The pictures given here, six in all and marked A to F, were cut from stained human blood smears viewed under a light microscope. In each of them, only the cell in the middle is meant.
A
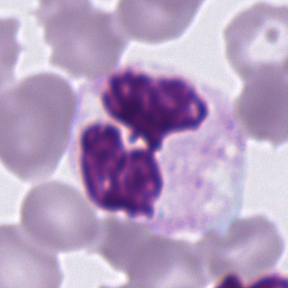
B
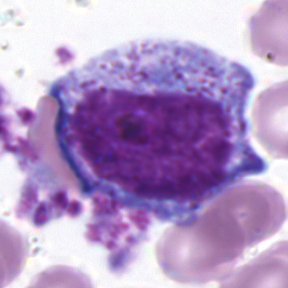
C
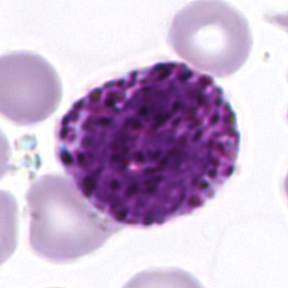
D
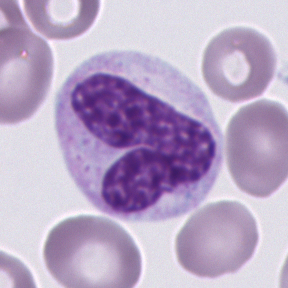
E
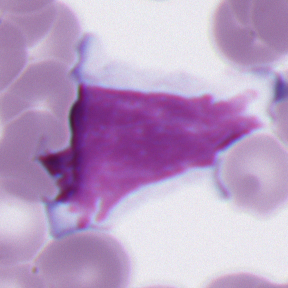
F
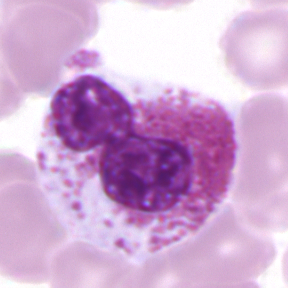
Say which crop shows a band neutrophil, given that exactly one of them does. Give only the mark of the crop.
D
